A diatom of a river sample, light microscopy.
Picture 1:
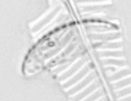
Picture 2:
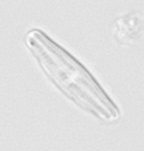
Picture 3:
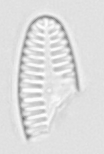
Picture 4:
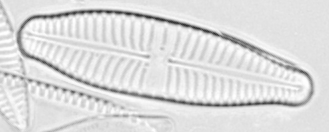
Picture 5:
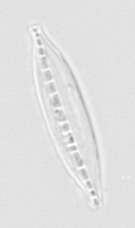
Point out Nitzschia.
That is picture 5.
